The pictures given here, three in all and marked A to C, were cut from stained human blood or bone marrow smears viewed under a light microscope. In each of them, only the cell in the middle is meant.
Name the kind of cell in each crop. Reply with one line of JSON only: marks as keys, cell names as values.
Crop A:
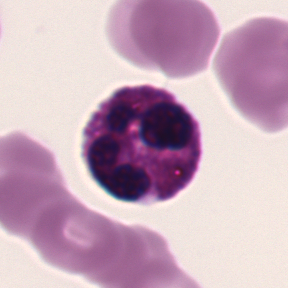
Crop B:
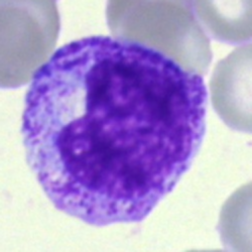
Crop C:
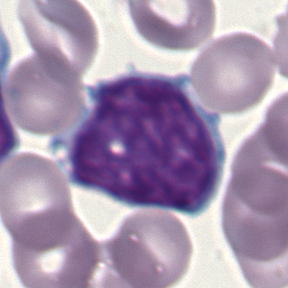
{"A": "eosinophil", "B": "myelocyte", "C": "blast"}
